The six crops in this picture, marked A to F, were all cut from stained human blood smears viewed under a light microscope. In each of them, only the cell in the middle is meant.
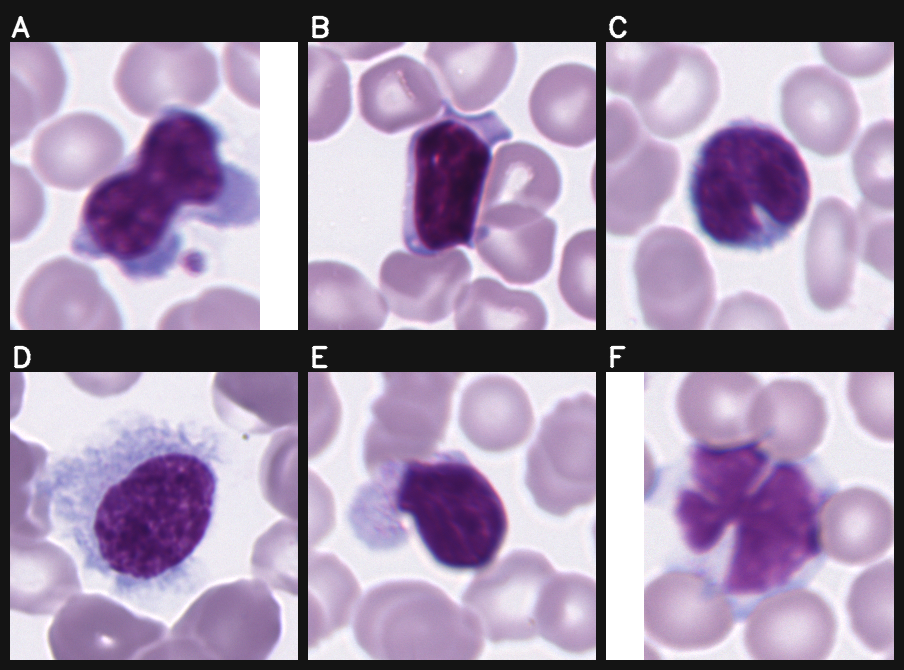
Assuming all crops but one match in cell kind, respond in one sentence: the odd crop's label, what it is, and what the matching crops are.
Seen in crop D is a hairy cell, and seen in all other crops are typical lymphocytes.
